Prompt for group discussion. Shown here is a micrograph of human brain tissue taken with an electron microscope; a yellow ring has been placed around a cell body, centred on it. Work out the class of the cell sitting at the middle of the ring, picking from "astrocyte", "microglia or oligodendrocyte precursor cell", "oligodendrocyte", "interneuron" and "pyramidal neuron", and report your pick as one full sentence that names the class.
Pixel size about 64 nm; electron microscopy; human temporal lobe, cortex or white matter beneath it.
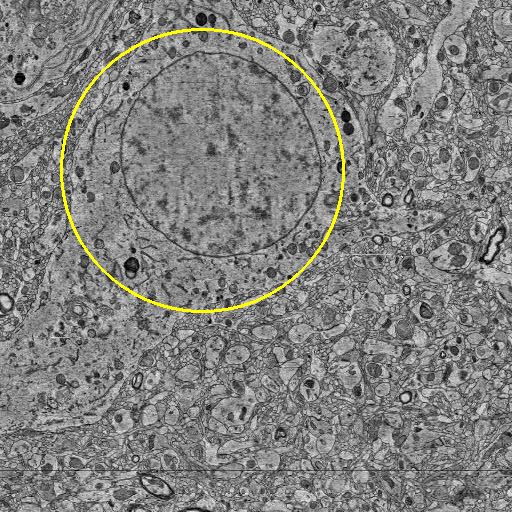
The cell sitting at the middle of the yellow ring is a pyramidal neuron.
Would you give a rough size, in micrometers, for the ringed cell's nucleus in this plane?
Approximately 13 micrometres across, in this plane.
